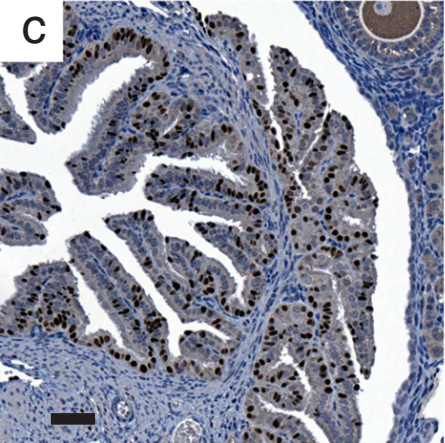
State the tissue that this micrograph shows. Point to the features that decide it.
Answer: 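A tube whose lumen is filled by many branching, slender mucosal folds. The folds are lined by a single layer of columnar epithelium over thin stromal cores. A large round oocyte in a follicle sits at the upper right corner, outside the tube. That points to this answer: oviduct.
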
